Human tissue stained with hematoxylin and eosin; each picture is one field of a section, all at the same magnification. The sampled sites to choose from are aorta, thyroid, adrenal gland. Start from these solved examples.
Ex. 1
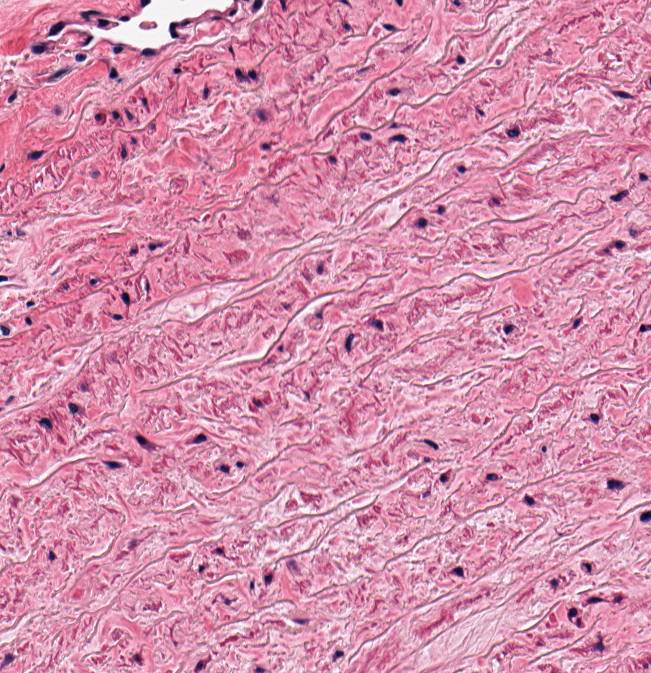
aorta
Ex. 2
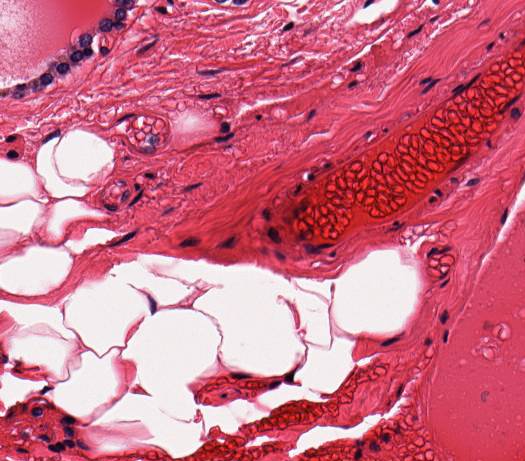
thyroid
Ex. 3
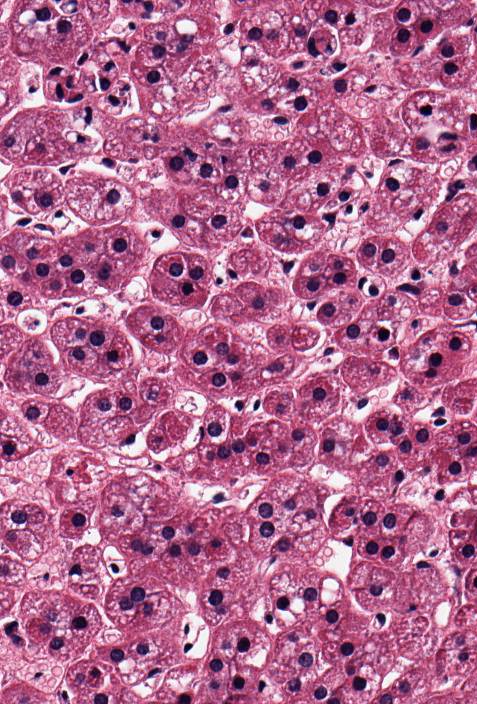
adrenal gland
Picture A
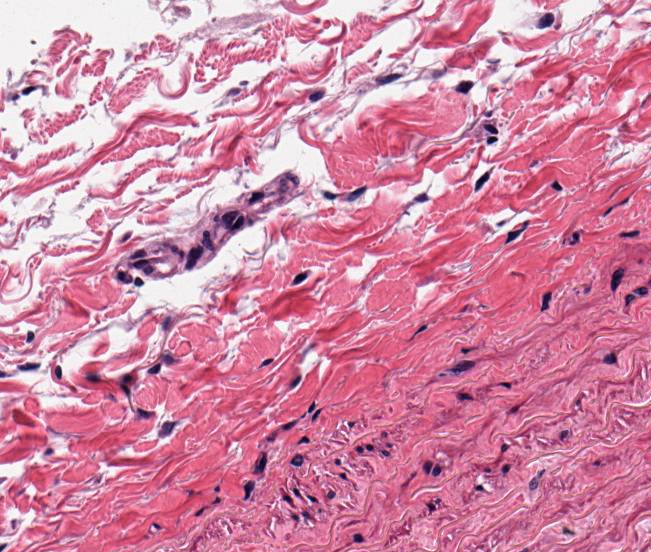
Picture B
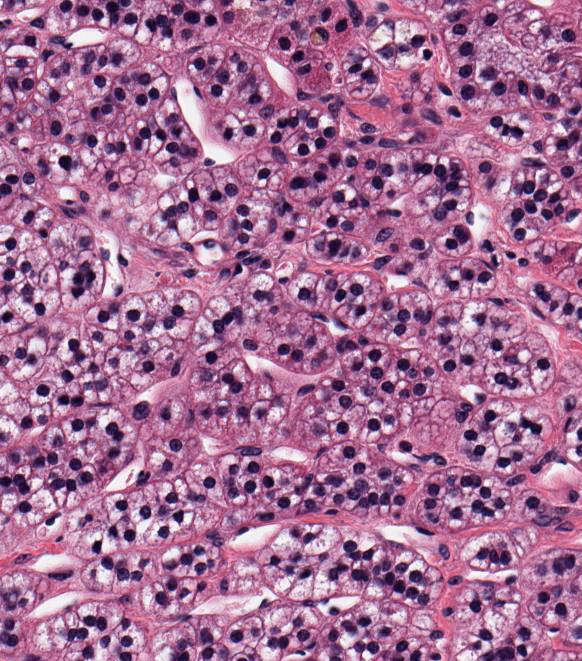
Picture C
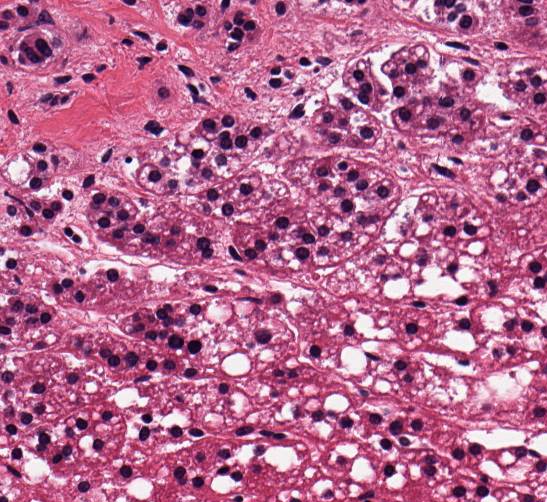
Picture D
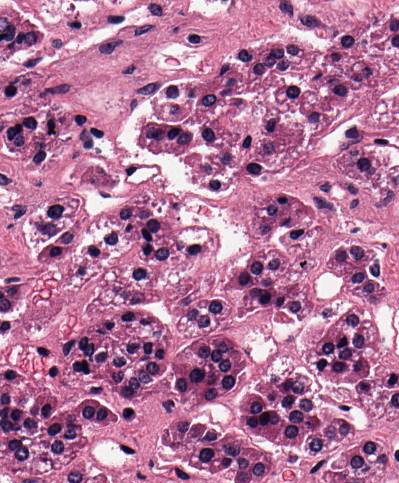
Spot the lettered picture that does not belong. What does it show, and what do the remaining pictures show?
Odd one out: A (aorta). The rest: adrenal gland.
